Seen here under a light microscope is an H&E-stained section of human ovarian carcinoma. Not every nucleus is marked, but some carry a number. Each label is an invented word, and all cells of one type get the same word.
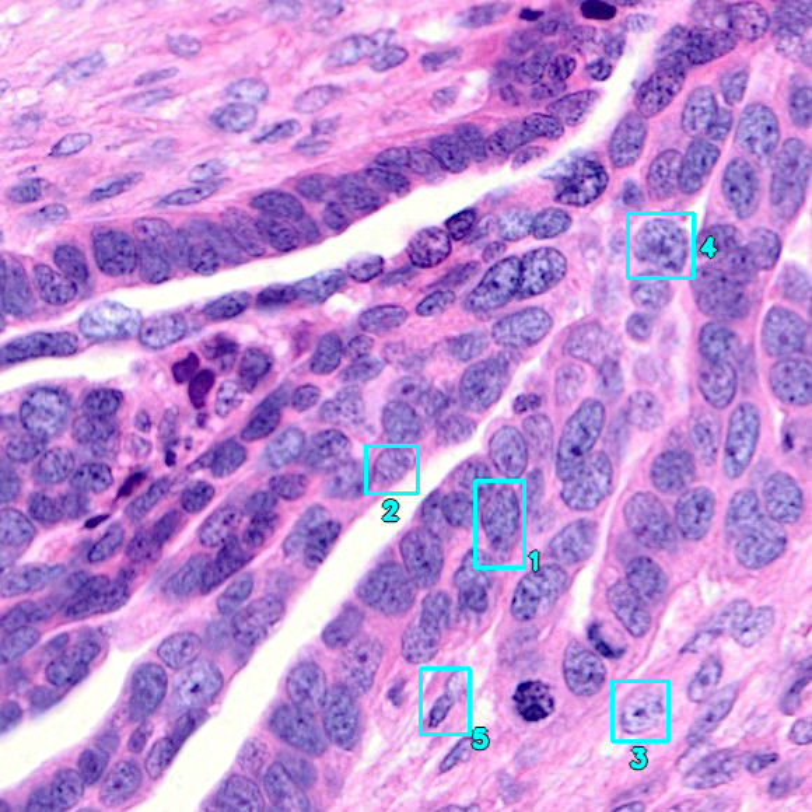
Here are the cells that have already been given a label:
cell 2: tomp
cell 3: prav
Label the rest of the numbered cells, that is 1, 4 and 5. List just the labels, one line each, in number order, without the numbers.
tomp
tomp
prav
